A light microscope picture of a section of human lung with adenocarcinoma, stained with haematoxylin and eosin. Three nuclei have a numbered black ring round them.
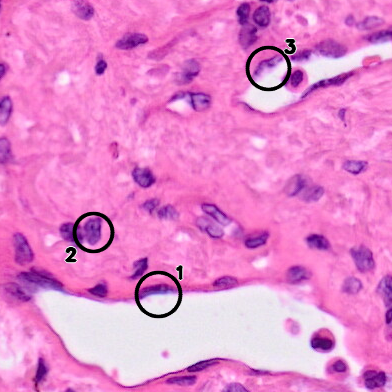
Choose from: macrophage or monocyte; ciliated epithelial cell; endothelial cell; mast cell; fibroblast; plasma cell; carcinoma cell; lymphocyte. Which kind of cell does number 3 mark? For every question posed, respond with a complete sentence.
In this section, number 3 marks an endothelial cell.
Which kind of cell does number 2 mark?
Cell 2, among those numbered, is a lymphocyte.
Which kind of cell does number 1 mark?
The cell referenced by the number 1 is an endothelial cell in this field.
